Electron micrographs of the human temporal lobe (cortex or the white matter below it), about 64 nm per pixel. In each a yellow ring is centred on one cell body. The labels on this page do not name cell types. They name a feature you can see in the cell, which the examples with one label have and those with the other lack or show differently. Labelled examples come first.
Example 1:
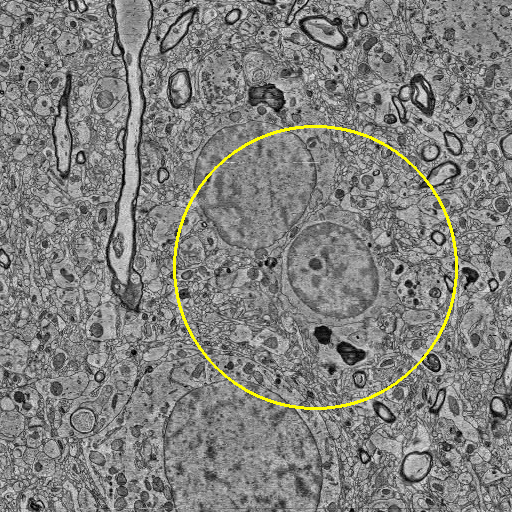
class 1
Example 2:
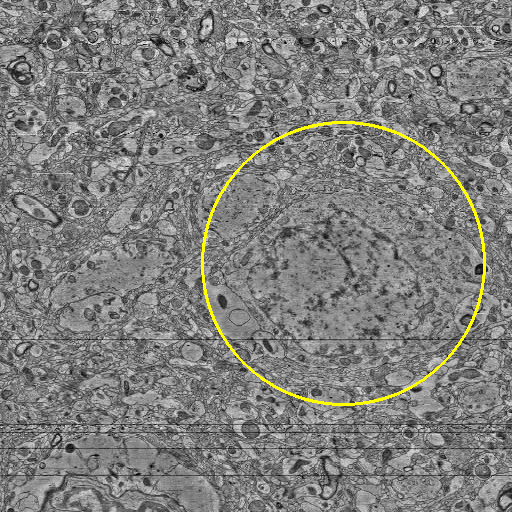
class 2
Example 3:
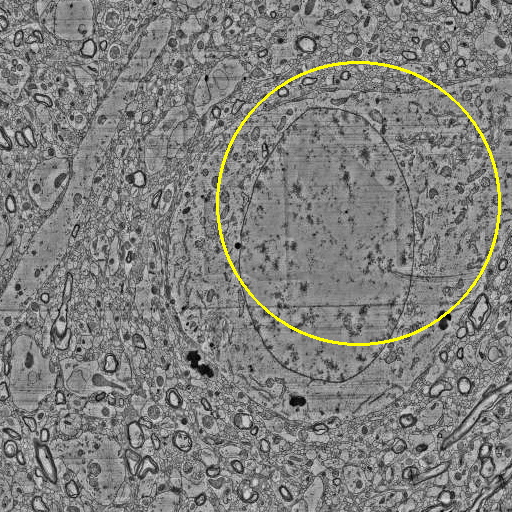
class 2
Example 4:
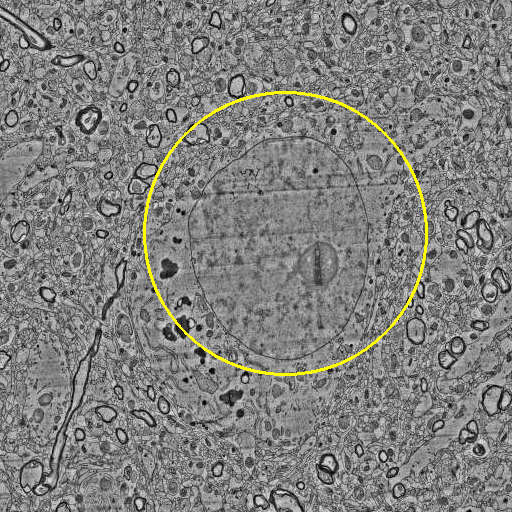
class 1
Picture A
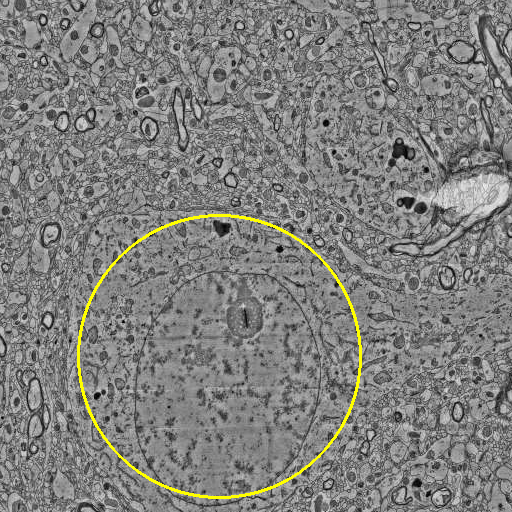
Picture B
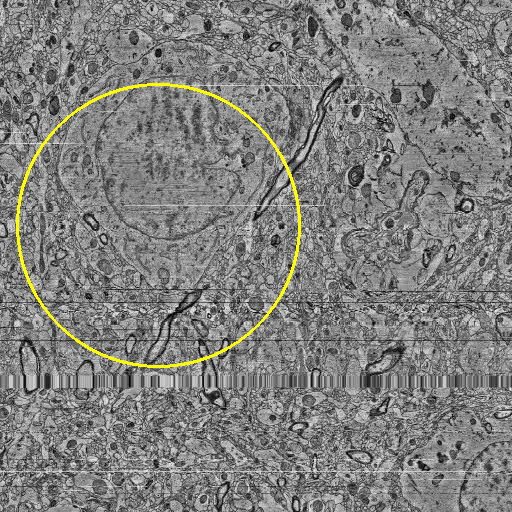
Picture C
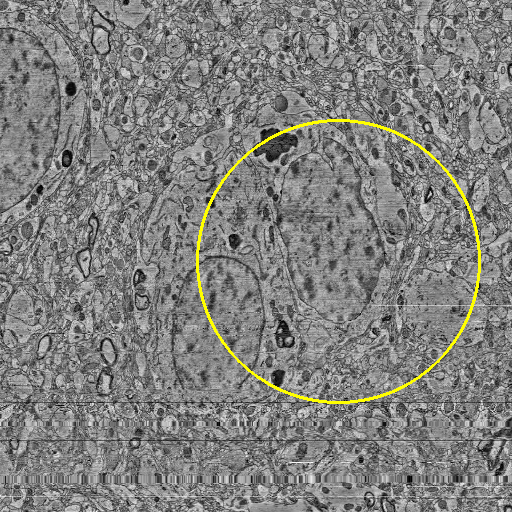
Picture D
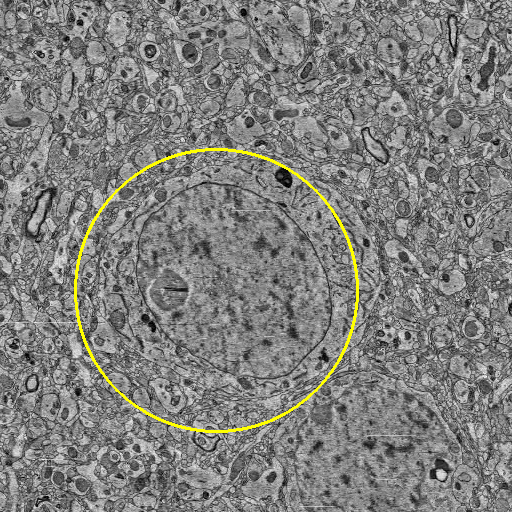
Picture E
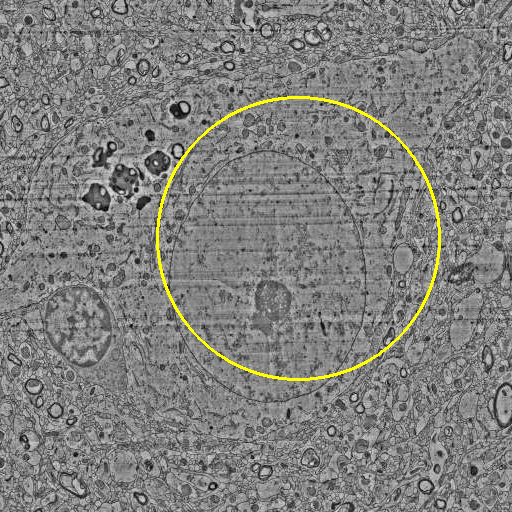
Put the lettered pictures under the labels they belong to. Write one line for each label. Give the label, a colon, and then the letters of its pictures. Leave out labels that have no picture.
class 1: A, D, E
class 2: B, C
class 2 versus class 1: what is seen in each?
Seen in class 2: no nucleolus seen; seen in class 1: nucleolus seen.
